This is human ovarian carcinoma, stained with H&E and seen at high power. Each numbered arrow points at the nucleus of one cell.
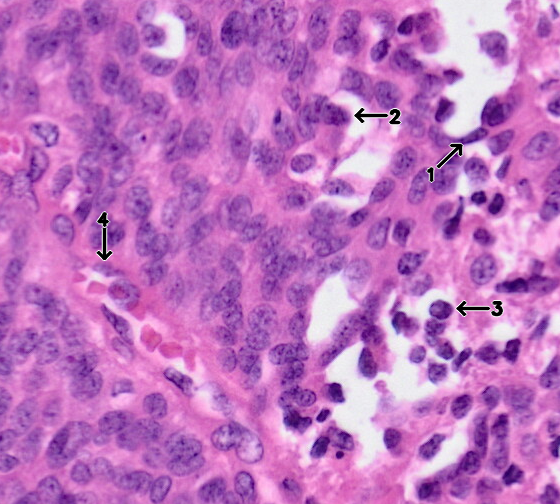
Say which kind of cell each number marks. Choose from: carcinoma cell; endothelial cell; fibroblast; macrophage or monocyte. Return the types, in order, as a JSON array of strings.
["carcinoma cell", "carcinoma cell", "carcinoma cell", "endothelial cell"]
